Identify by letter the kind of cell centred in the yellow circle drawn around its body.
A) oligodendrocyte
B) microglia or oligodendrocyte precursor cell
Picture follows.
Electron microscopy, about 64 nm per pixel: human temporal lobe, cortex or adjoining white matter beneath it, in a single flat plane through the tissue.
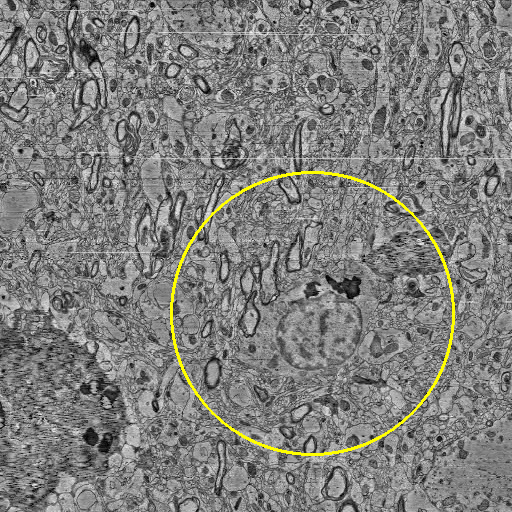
A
